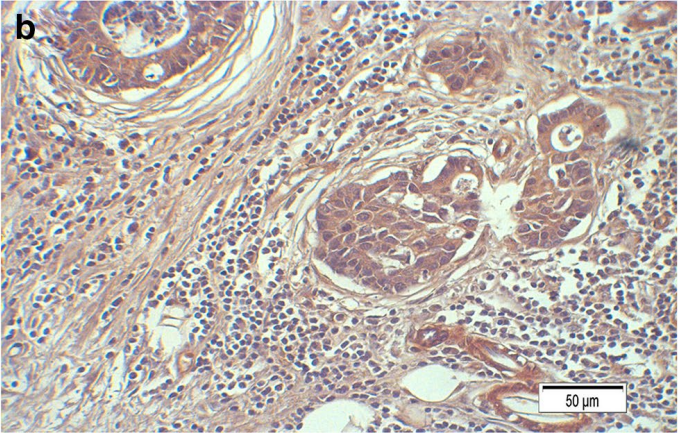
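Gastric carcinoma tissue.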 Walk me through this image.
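Several irregular nests and gland-like clusters of tumor cells lie in fibrous stroma, some with small lumina, their cells having enlarged ovoid nuclei and a light brown tinted cytoplasm. Between them the stroma is crowded with many small, round, darkly blue-staining lymphocytes. Wavy bundles of fibrous tissue wrap around some of the nests, and a few empty vessel-like spaces appear at the bottom. The tumor cells are only weakly stained, so their nuclei remain easy to see.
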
